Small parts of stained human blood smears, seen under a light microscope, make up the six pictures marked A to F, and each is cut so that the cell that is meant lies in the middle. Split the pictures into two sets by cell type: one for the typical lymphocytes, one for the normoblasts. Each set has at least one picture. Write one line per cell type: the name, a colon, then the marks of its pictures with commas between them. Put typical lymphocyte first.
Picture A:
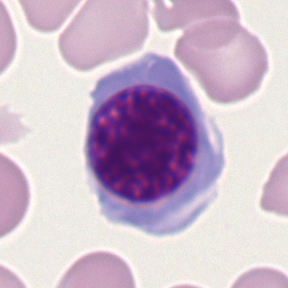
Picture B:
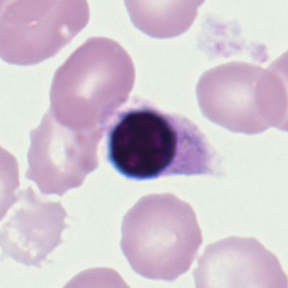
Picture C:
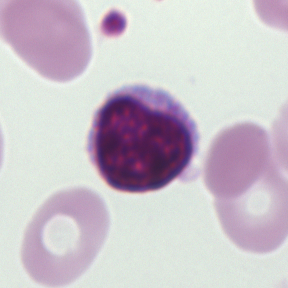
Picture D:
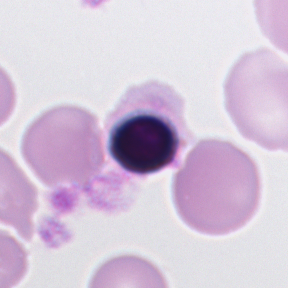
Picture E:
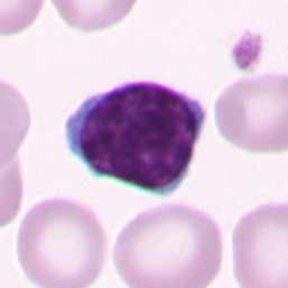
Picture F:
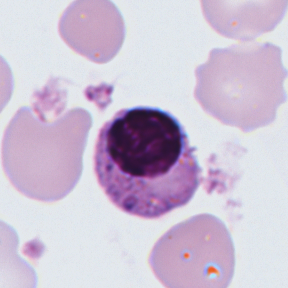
typical lymphocyte: C, E
normoblast: A, B, D, F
